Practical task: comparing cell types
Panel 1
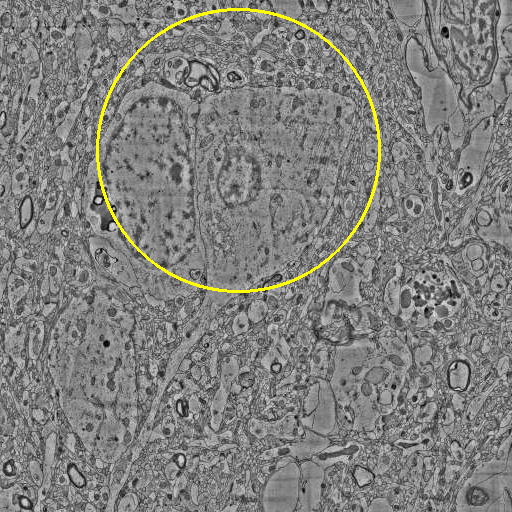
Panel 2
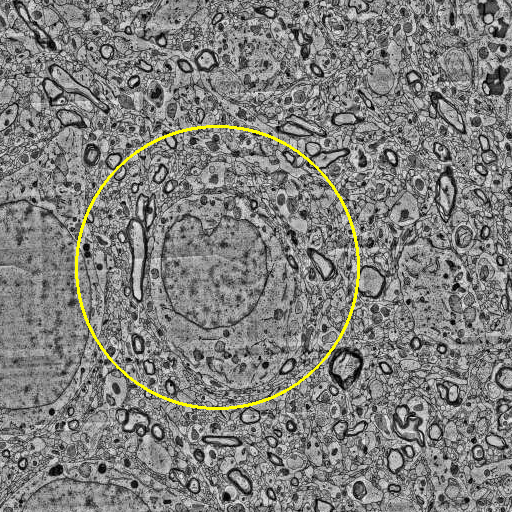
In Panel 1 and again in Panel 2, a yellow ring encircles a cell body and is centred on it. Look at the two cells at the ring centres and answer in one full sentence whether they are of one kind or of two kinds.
The two cells sitting at the ring centres of Panels 1 and 2 are of one kind.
